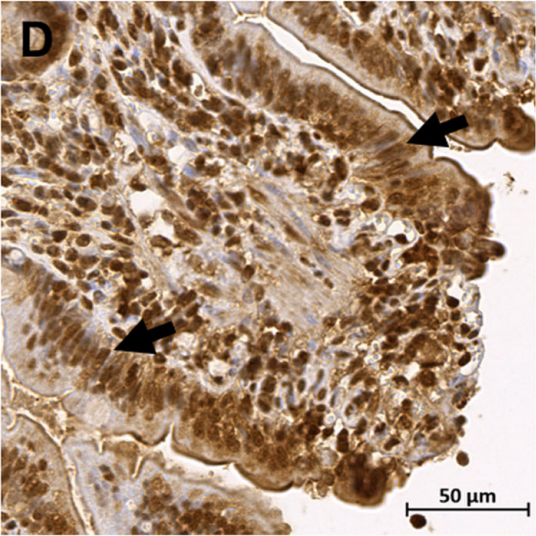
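A finger-like projection of mucosa is seen, covered on its surface by a single layer of tall columnar epithelial cells with a thin brush-like border towards the lumen on the right. Their elongated nuclei lie in a row and are stained dark brown, and the cytoplasm is a lighter brown. The core beneath holds loose connective tissue crowded with many small rounded cells, most with dark brown nuclei. This is a villus covered by enterocytes whose nuclei are intensely stained, with mild to moderate cytoplasmic staining.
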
